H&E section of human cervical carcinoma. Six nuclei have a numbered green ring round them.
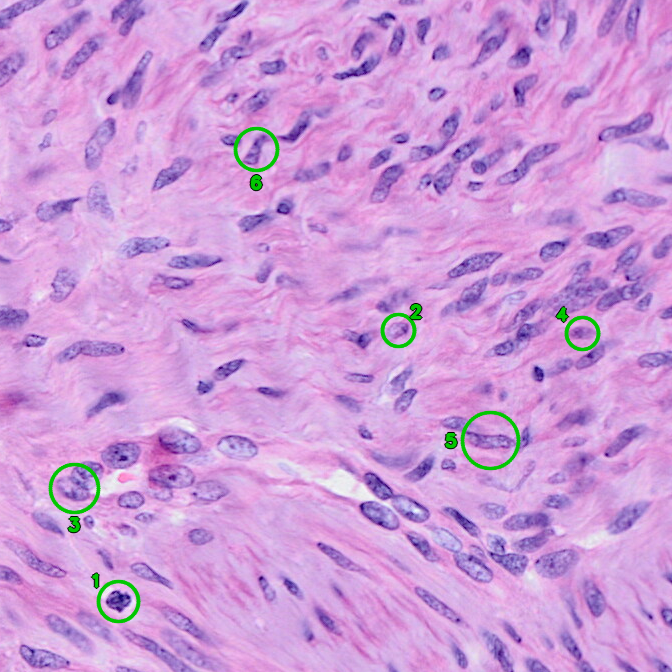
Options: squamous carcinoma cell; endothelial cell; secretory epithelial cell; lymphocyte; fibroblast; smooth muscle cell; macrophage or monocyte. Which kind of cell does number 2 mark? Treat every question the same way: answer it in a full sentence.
The marked cell bearing number 2 is a smooth muscle cell.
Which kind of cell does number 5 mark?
Cell 5, among those numbered, is a smooth muscle cell.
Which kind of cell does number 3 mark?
Among the marked nuclei, number 3 belongs to an endothelial cell.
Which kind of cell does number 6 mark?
Among the marked nuclei, number 6 belongs to a smooth muscle cell.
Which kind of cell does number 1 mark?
Cell number 1 in this section is a lymphocyte.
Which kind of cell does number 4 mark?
The numbered cell 4 in this field is a smooth muscle cell.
